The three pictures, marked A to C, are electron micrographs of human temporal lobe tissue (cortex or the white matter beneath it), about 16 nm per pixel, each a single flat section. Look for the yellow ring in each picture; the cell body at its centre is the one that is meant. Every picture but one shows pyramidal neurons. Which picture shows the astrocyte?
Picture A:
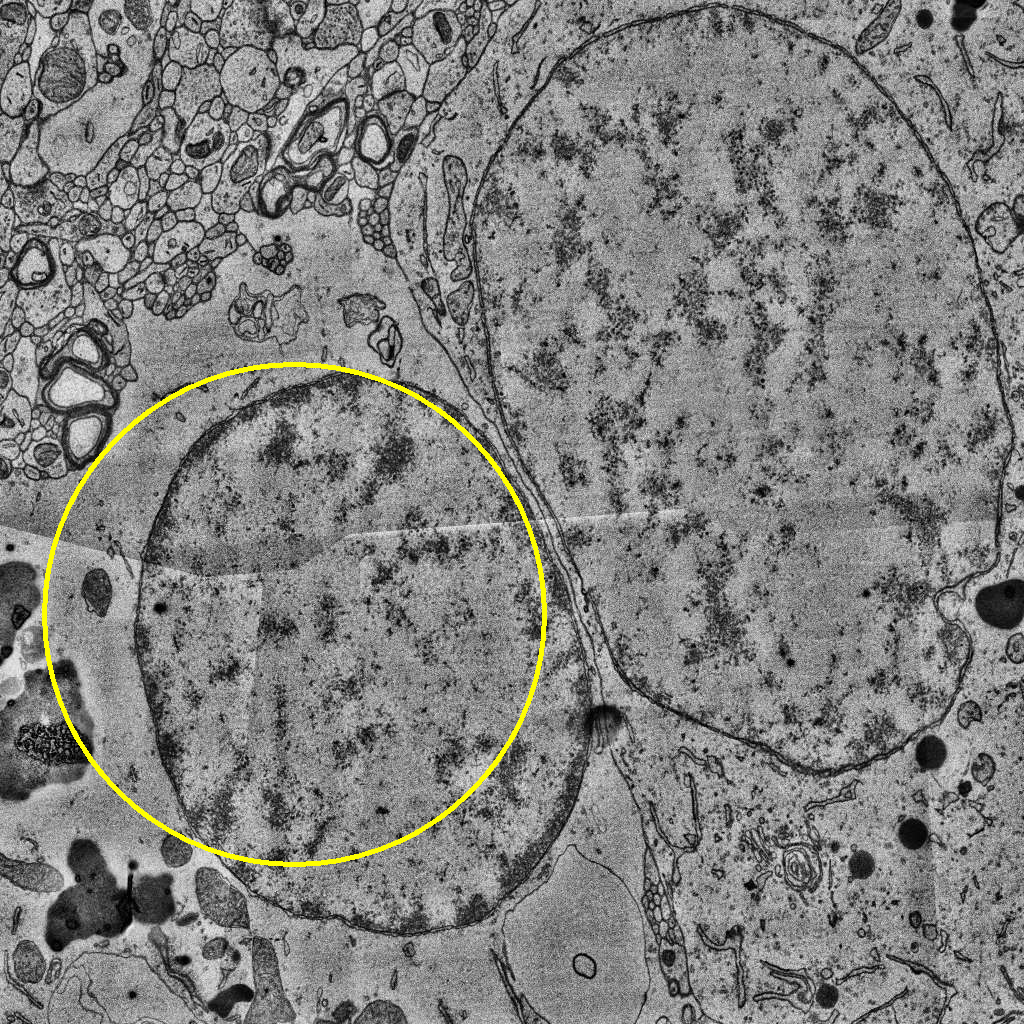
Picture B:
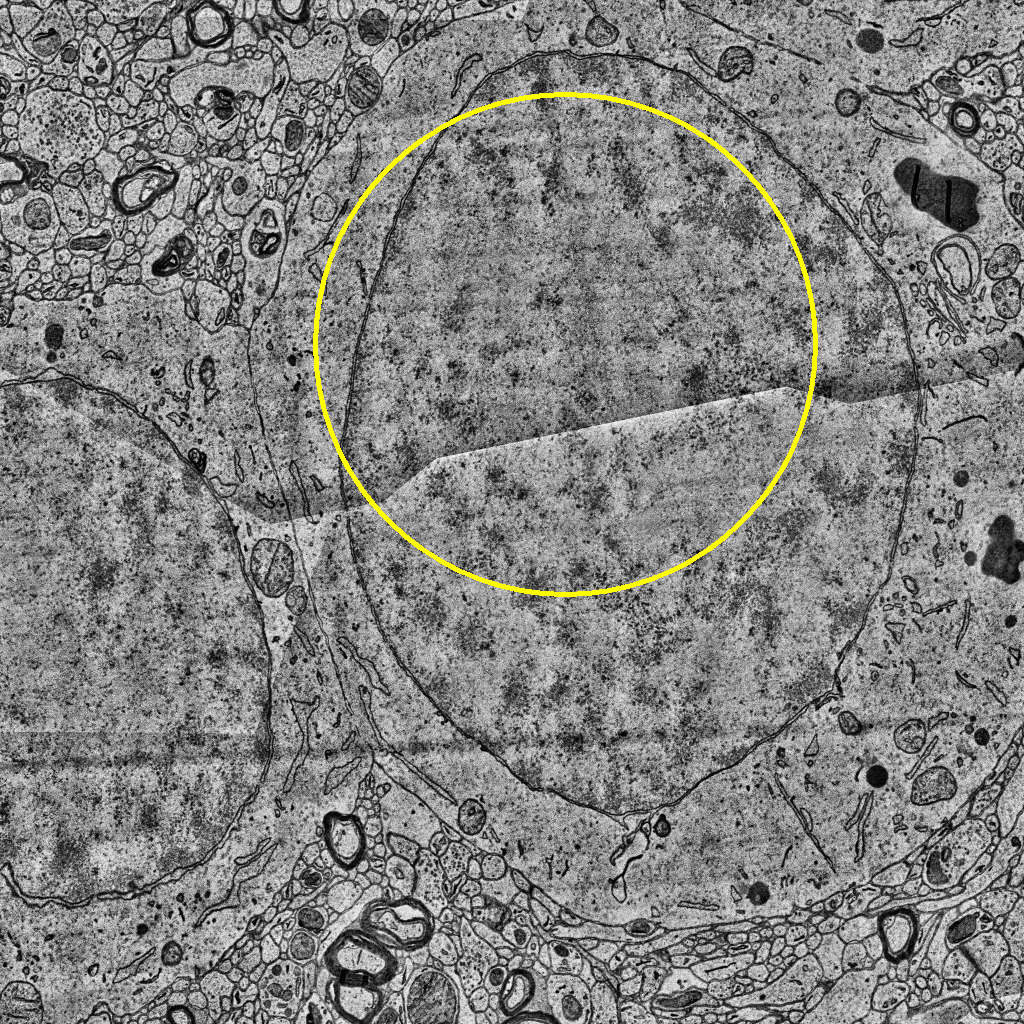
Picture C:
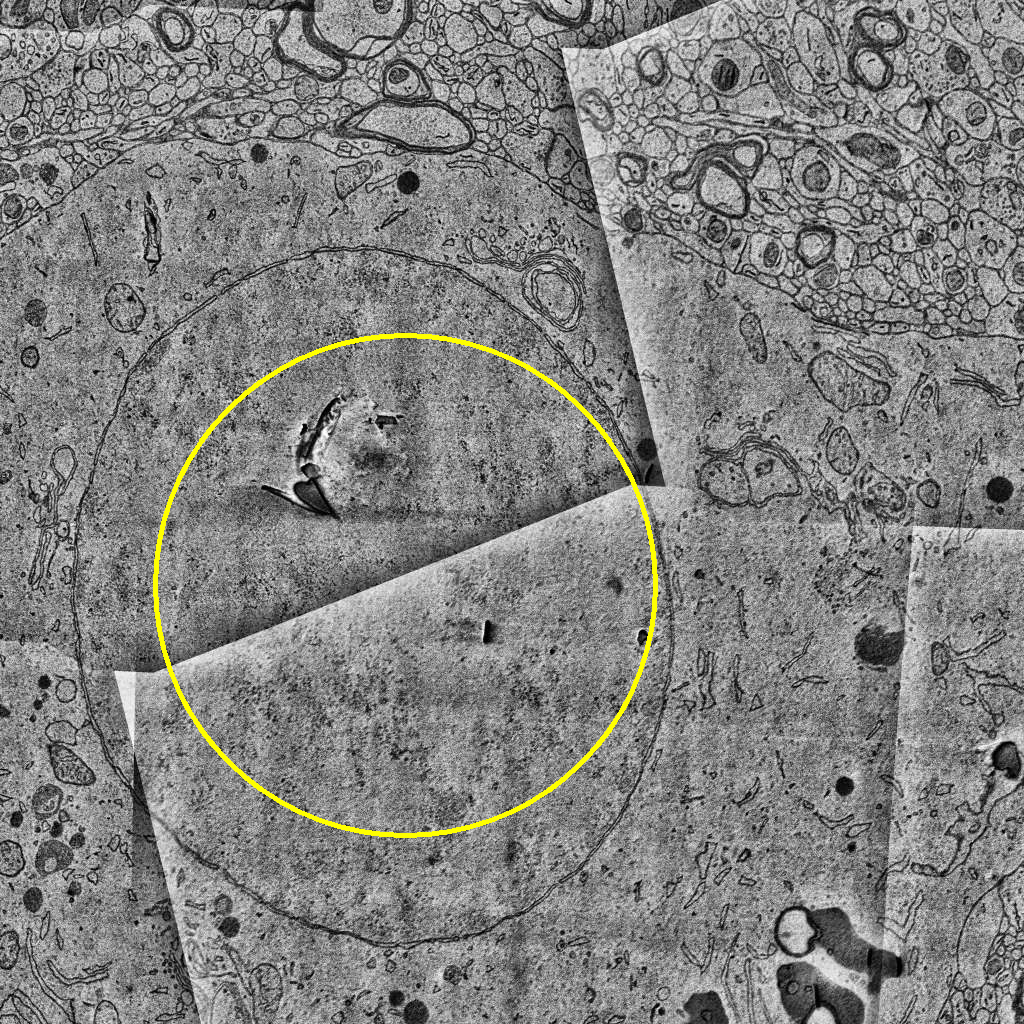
The astrocyte is the one in picture A.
